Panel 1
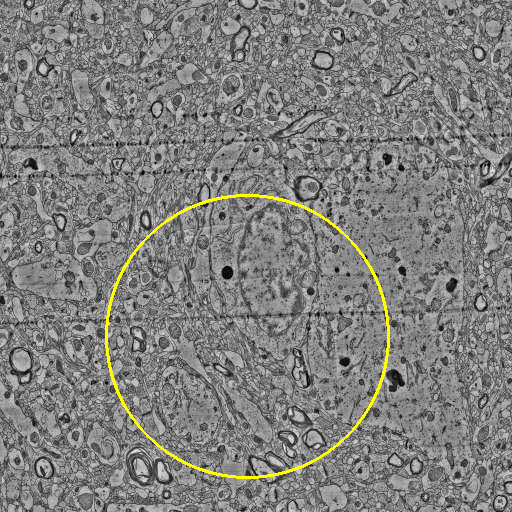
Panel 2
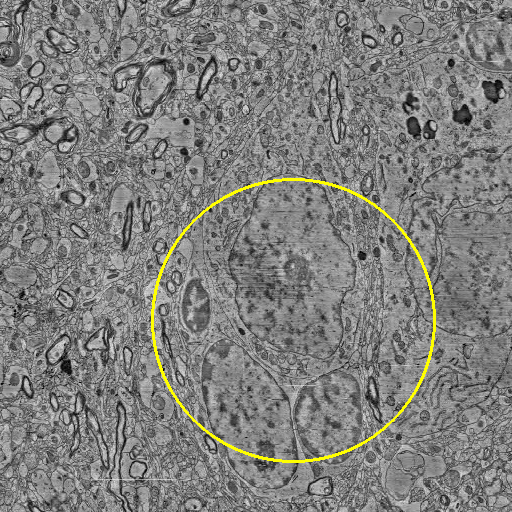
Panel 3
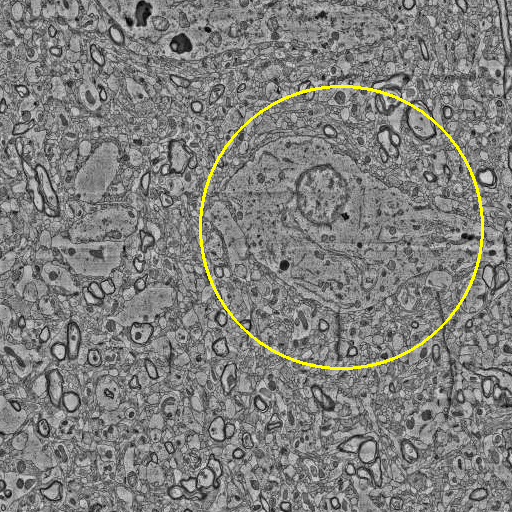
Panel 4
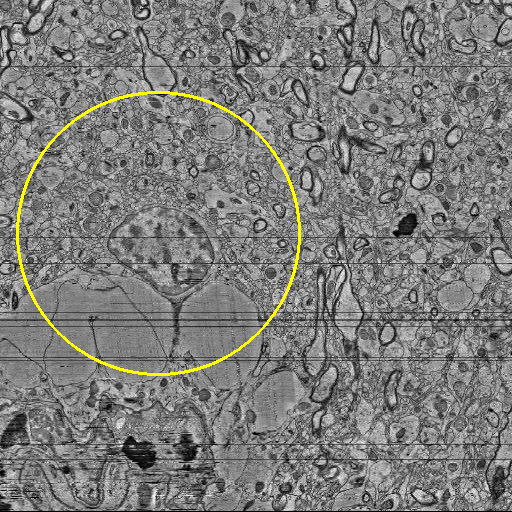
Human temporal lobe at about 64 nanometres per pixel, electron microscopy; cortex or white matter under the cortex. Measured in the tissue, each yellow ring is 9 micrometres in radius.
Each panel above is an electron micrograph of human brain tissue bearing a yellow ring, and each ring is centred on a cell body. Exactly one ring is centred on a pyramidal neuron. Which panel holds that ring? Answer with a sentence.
That ring is in Panel 3.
